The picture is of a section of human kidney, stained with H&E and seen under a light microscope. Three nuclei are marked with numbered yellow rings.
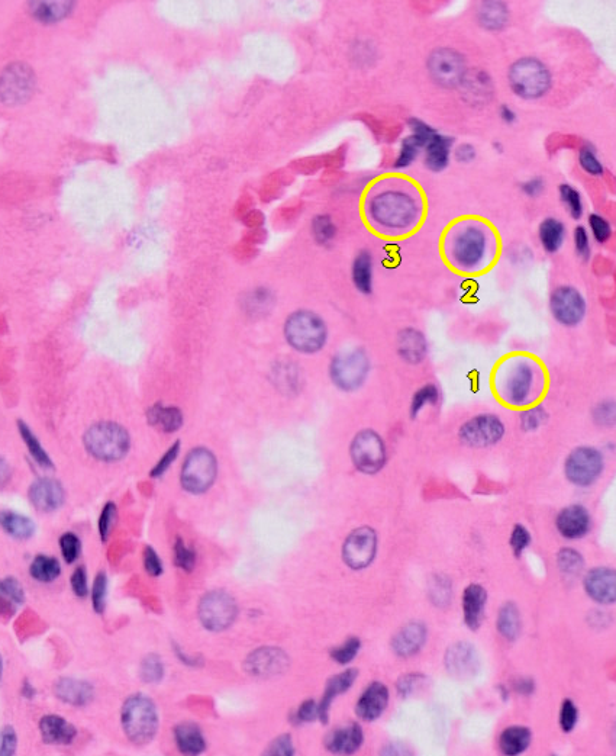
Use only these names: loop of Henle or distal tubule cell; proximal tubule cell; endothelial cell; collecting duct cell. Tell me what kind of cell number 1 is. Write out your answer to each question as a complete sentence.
At number 1, the marked cell is a loop of Henle or distal tubule cell.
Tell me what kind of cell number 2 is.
The nucleus labelled 2 belongs to a loop of Henle or distal tubule cell.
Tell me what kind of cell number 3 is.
To a proximal tubule cell belongs the nucleus marked 3.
